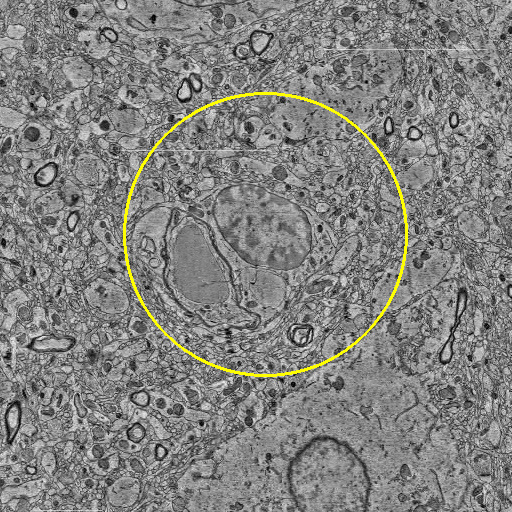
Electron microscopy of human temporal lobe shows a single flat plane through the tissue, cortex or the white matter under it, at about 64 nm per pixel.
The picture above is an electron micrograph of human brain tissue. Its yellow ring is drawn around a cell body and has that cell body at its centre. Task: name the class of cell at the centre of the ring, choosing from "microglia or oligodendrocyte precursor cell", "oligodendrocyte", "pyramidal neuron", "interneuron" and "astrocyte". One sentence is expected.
The ring surrounds the body of a microglial cell or oligodendrocyte precursor cell.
